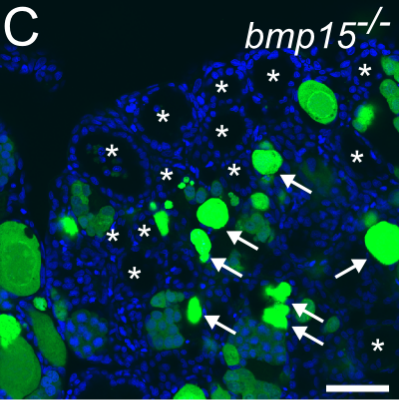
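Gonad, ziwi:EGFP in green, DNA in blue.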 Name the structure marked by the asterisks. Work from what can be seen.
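Empty follicles. The spaces hold no green-filled cell.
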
